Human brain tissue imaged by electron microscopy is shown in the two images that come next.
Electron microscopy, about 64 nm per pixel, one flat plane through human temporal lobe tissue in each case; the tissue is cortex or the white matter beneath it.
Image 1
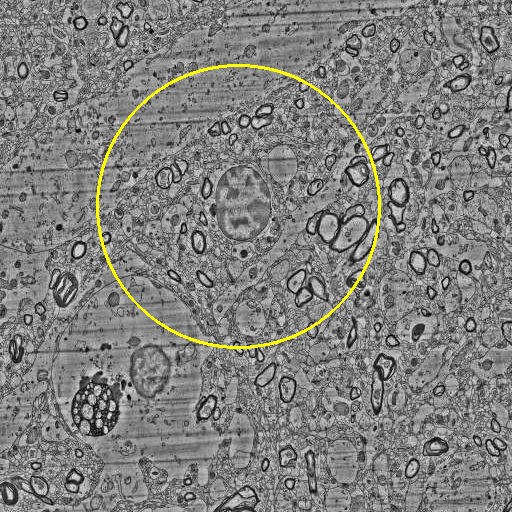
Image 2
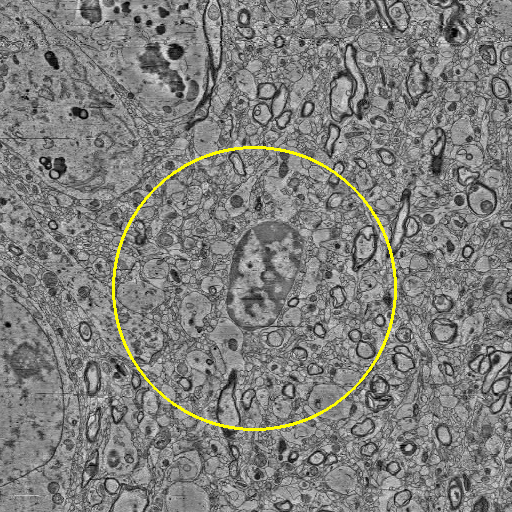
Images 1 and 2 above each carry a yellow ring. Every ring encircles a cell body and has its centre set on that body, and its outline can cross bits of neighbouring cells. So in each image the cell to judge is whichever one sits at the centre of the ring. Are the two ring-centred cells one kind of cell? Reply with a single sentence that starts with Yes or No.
Yes, in Image 1 and Image 2 the cells at the centres of their rings fall into one type.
